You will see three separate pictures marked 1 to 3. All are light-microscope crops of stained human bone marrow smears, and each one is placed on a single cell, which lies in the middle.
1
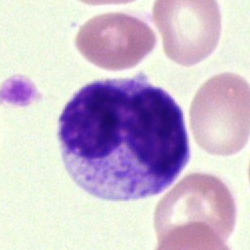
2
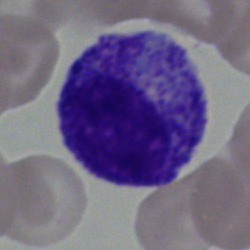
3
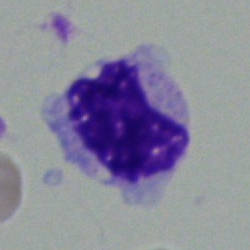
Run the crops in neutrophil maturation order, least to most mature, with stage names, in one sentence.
Ordering the crops by maturity, least first, gives crop 2 (a promyelocyte), crop 3 (a metamyelocyte) and crop 1 (a band neutrophil).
